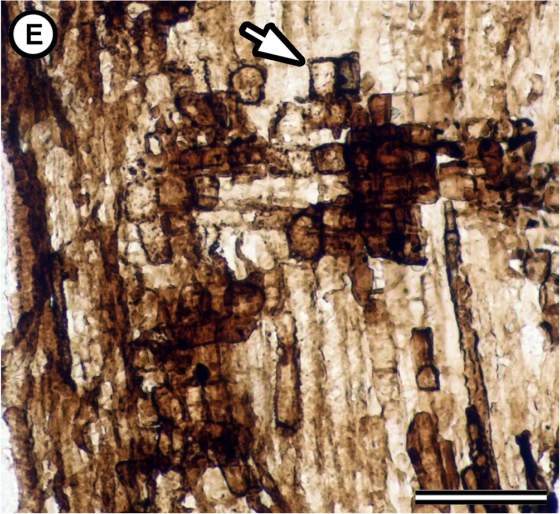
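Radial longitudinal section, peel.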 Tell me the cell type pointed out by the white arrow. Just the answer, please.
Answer: Upright.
